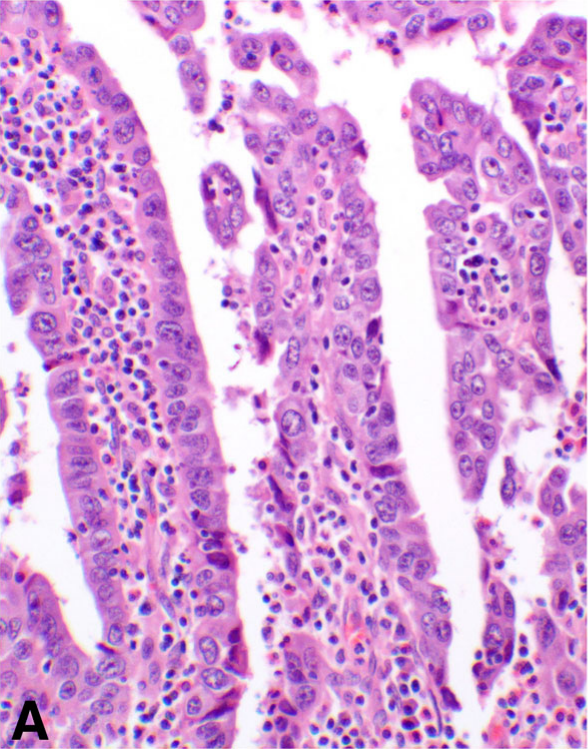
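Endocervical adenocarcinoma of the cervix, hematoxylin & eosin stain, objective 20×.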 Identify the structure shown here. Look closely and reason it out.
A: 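Central cores of the fronds are packed with small round dark nuclei. The cores are covered on both sides by a layer of large epithelial cells.
Conclusion: inflammatory stromal core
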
